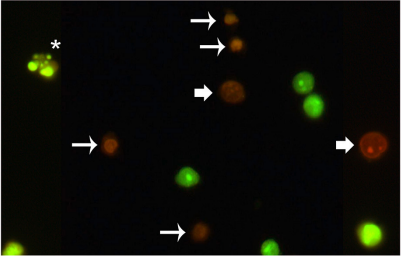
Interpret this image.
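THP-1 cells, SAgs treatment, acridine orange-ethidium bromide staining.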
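These are scattered round monocytic cells in suspension, a mixture of live, apoptotic and necrotic cells. Several cells fluoresce evenly green with round nuclei, while one green cell at upper left shows bright, fragmented green nuclear granules typical of early apoptosis. Several small, shrunken cells fluoresce orange-red, as late apoptotic cells, and a few larger, rounded orange-red cells represent necrotic cells.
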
